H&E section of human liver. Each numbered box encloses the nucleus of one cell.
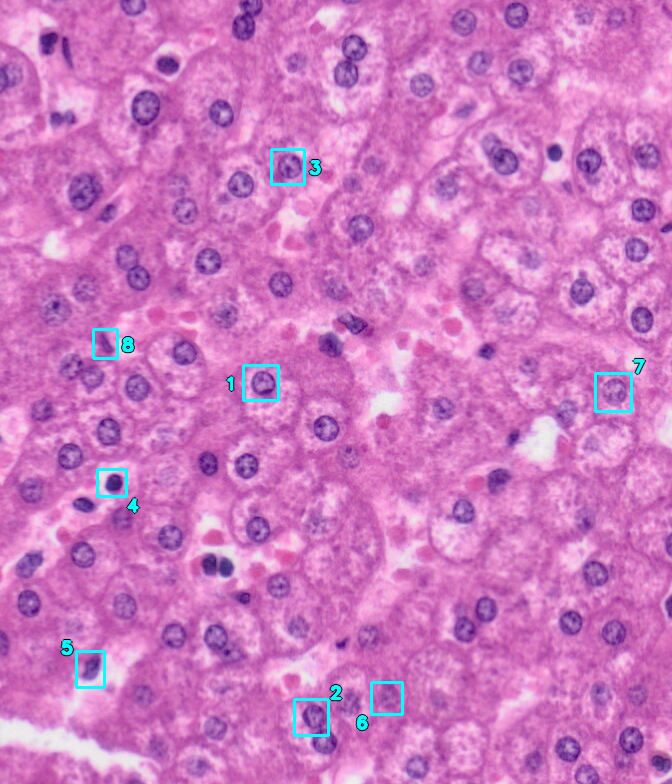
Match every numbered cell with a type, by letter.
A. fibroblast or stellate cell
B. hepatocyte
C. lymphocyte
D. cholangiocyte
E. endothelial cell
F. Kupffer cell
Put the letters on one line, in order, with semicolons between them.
B; B; B; C; E; B; B; E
